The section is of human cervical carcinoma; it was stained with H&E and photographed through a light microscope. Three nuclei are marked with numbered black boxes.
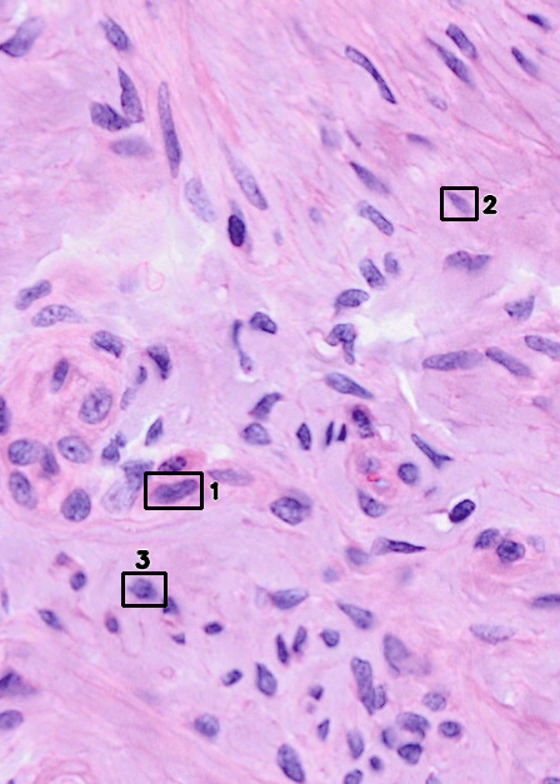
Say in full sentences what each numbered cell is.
Cell 1 is an endothelial cell. Cells 2 and 3 are fibroblasts.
